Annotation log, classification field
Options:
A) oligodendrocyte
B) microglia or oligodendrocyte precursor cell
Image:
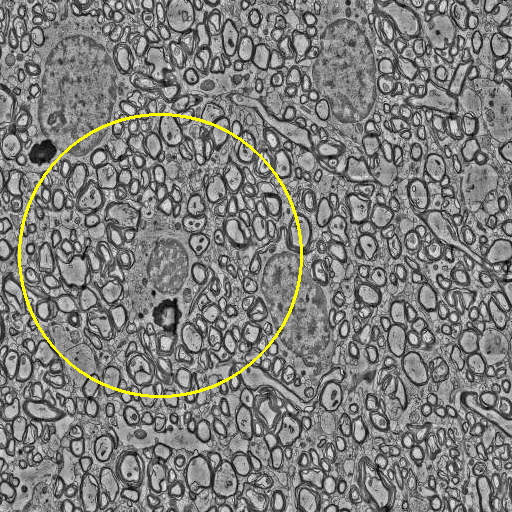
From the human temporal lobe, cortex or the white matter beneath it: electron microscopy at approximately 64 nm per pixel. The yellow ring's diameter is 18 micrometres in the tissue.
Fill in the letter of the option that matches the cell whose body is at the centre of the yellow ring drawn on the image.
A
